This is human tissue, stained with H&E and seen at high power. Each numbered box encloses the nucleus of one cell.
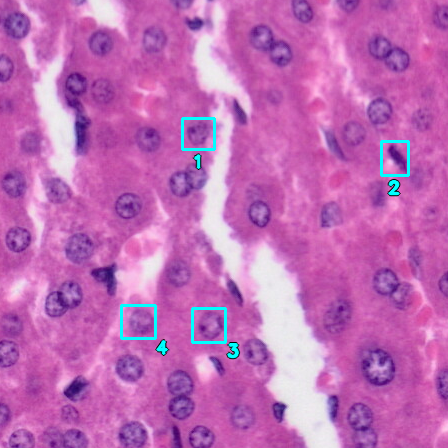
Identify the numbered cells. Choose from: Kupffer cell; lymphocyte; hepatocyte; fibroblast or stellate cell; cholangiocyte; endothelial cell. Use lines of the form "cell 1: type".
cell 1: hepatocyte
cell 2: fibroblast or stellate cell
cell 3: hepatocyte
cell 4: hepatocyte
